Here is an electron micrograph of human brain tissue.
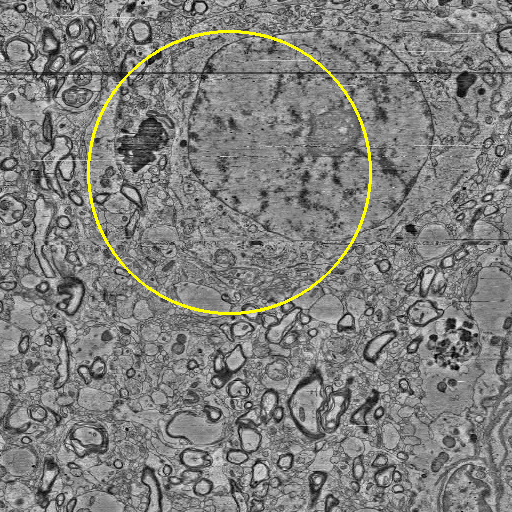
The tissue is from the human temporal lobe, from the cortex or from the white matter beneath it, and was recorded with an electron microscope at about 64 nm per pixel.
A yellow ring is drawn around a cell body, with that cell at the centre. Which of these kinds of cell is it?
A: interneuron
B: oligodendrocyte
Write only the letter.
A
